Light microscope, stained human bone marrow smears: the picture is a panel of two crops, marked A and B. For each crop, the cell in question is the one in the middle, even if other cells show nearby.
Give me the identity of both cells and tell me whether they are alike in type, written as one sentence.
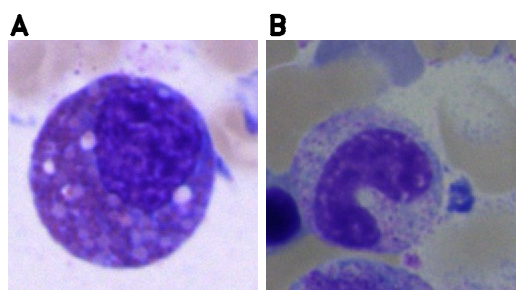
No, crop A displays an eosinophil and crop B displays a band neutrophil.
